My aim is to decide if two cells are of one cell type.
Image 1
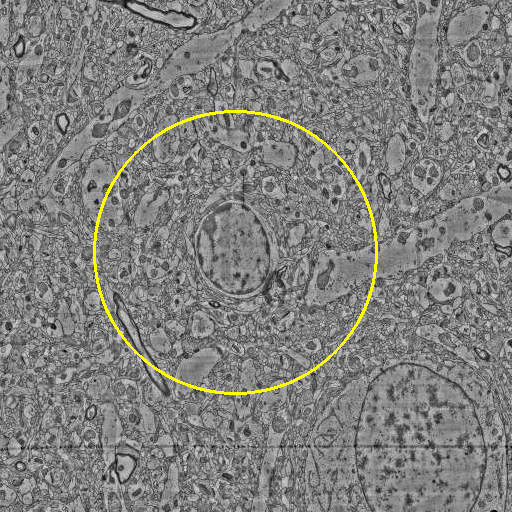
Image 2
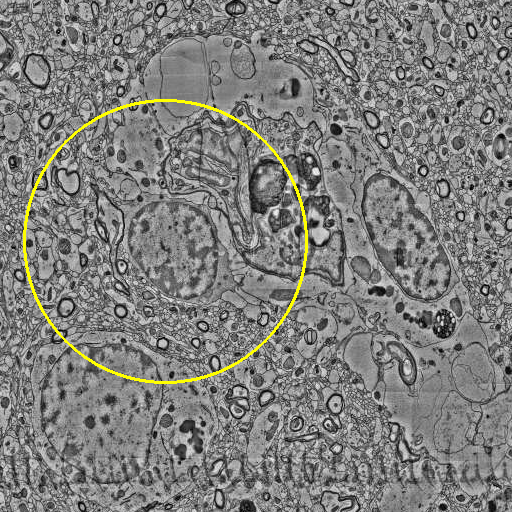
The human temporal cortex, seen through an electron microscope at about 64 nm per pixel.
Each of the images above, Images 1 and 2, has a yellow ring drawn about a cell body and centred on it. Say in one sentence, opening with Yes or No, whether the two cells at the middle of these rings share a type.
No, in Images 1 and 2 the cells at the middle of the rings fall into two types.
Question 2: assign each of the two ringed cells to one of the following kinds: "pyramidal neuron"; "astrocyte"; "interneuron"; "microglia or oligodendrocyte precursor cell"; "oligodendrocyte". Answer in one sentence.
The two cells are a microglial cell or oligodendrocyte precursor cell in the first picture and an oligodendrocyte in the second.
